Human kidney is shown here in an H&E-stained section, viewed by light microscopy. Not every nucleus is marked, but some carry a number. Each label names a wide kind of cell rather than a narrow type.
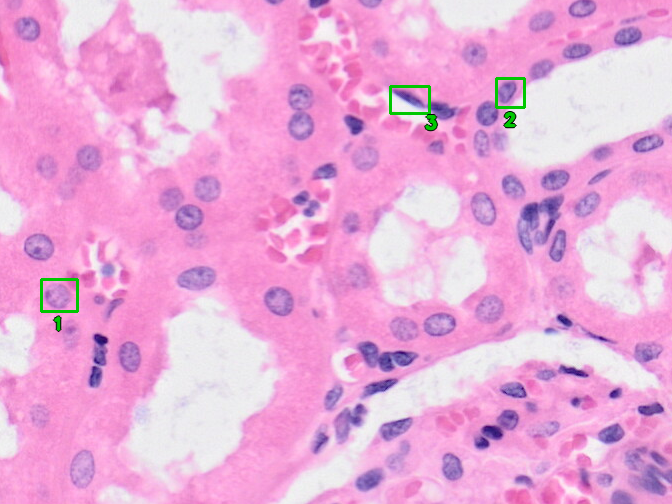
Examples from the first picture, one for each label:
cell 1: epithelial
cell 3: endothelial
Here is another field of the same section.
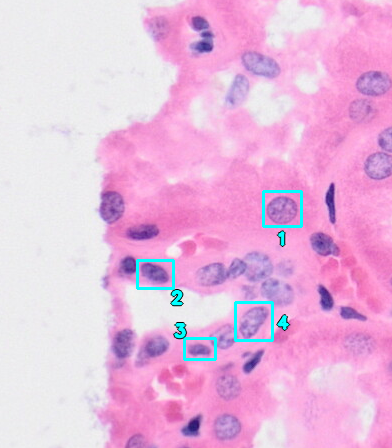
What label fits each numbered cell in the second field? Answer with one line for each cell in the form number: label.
1: epithelial
2: epithelial
3: epithelial
4: epithelial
